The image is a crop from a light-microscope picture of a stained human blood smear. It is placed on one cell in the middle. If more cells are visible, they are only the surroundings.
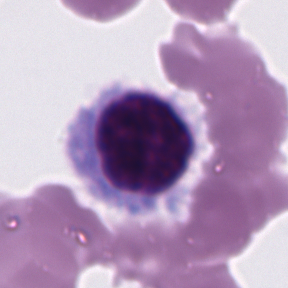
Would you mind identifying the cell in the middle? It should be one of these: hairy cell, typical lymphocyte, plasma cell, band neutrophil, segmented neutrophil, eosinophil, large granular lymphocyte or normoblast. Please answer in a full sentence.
The cell at the heart of this crop is a hairy cell.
